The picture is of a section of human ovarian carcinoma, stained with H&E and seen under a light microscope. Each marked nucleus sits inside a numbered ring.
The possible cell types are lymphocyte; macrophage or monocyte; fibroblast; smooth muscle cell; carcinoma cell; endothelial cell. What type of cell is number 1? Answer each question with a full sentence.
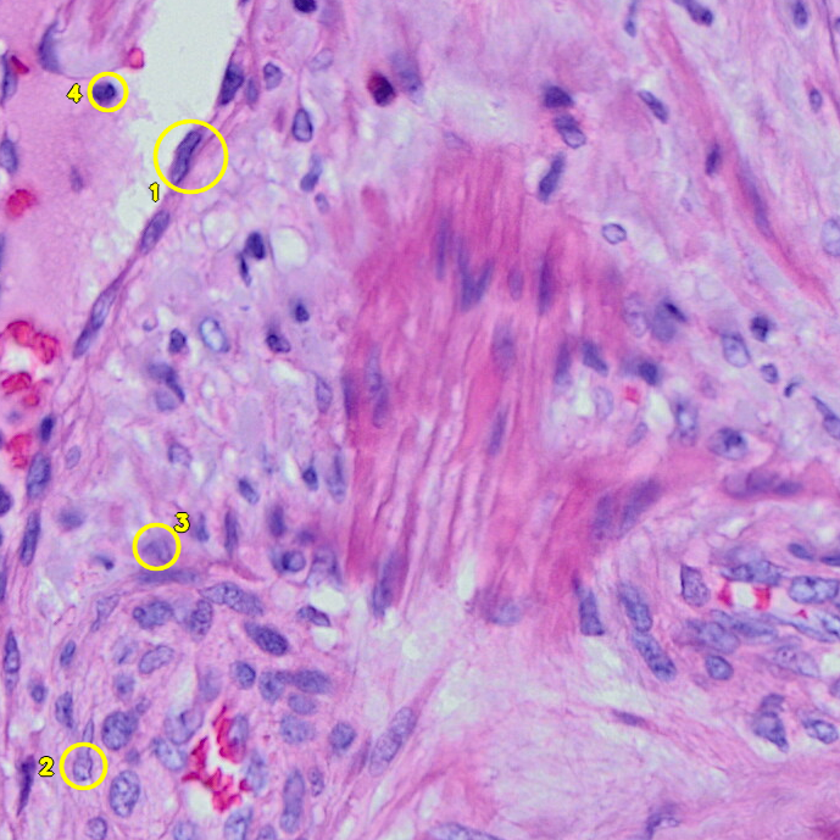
The cell numbered 1 represents an endothelial cell.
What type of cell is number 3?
Looking at the numbered marks, cell 3 is a fibroblast.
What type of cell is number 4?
The mark numbered 4 indicates the nucleus of a lymphocyte.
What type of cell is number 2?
Here, the cell given the number 2 is a fibroblast.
